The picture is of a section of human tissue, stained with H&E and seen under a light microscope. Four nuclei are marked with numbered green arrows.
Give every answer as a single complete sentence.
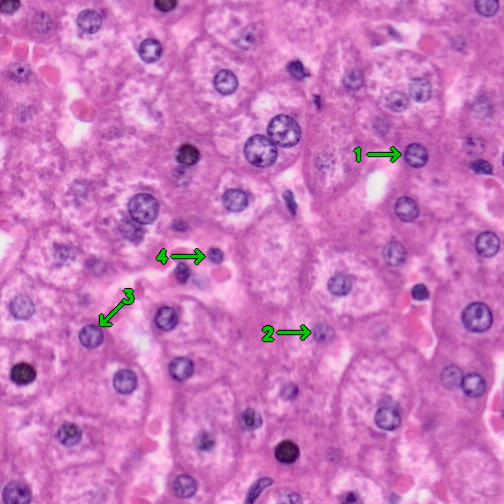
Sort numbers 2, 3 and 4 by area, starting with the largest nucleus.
Going from the biggest nucleus down to the smallest gives 3, 2, 4.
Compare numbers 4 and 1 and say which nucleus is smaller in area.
Number 4 is smaller, since number 1 takes up about 1.5 times as much area.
